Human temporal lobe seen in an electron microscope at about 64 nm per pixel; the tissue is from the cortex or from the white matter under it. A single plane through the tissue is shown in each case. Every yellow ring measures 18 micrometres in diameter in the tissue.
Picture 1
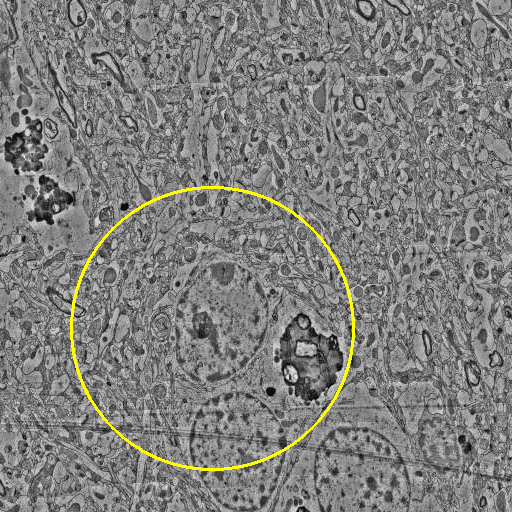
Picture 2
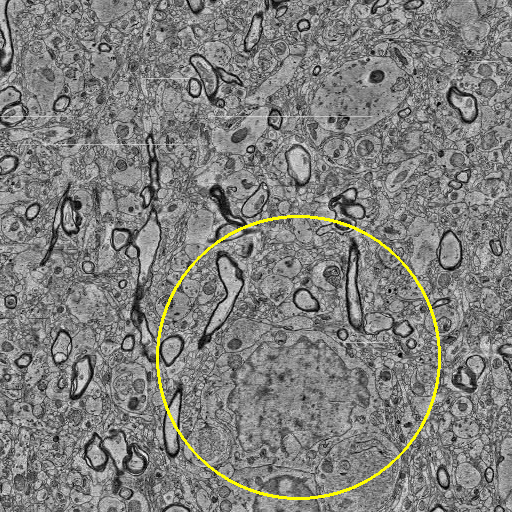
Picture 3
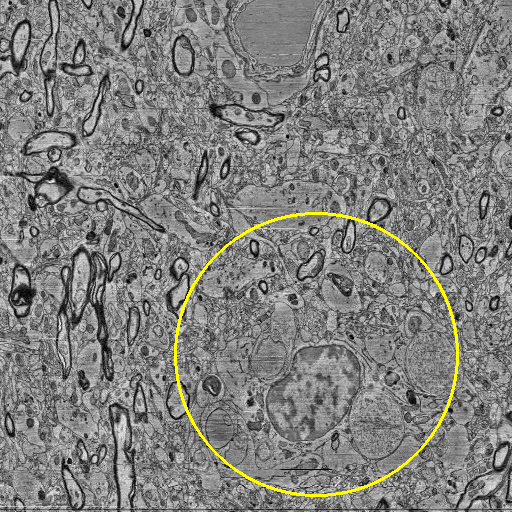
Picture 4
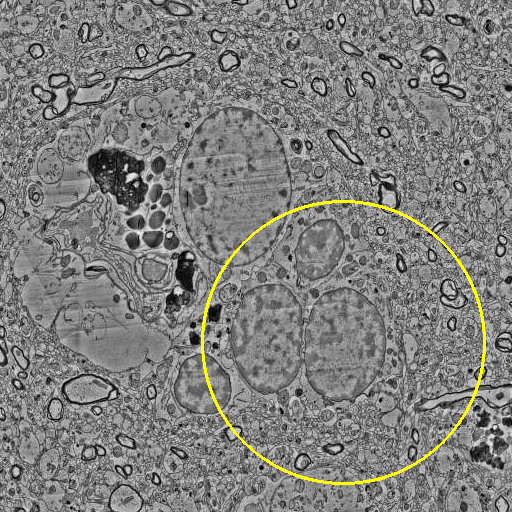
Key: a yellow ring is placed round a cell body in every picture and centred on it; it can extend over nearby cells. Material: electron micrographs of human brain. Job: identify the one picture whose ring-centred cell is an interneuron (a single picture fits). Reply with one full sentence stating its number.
Picture 2 is the one with the sought cell at the centre of its ring.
